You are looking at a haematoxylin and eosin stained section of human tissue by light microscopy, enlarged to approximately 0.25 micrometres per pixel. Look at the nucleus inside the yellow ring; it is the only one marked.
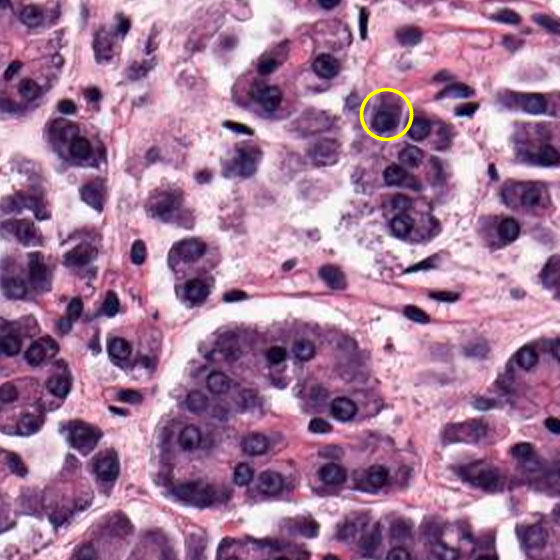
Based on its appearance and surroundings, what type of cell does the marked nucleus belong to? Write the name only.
pancreatic acinar cell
